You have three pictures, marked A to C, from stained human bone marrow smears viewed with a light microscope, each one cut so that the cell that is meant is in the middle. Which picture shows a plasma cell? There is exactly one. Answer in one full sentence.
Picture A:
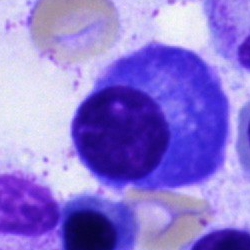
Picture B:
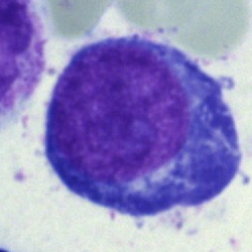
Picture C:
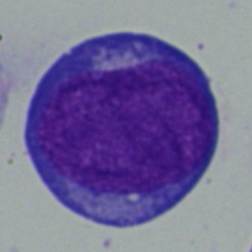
It is picture A that shows the plasma cell.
